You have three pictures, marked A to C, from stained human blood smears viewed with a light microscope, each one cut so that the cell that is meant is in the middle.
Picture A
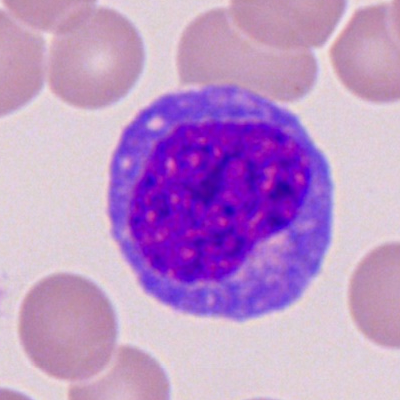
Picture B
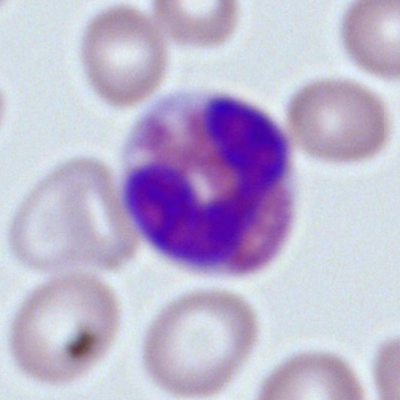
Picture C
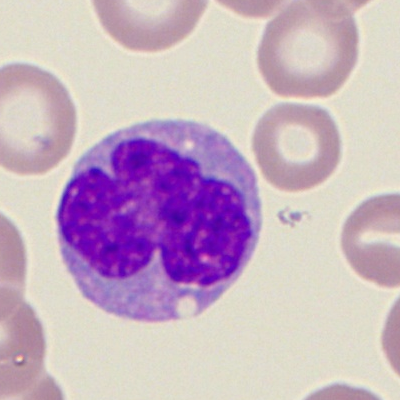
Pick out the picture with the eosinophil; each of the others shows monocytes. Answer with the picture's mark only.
B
